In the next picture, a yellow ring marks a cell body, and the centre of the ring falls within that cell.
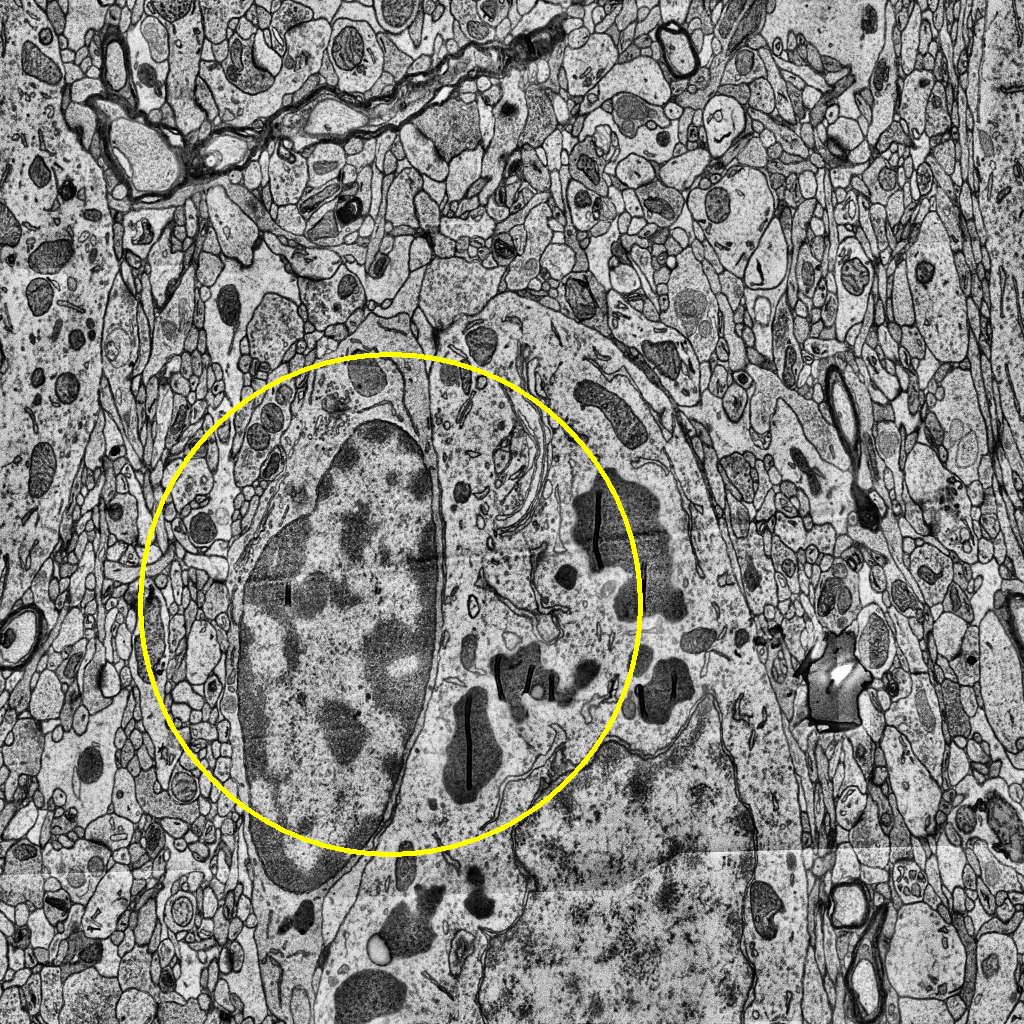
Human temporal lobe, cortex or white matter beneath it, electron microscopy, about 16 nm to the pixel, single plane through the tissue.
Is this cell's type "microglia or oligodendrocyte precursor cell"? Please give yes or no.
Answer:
yes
